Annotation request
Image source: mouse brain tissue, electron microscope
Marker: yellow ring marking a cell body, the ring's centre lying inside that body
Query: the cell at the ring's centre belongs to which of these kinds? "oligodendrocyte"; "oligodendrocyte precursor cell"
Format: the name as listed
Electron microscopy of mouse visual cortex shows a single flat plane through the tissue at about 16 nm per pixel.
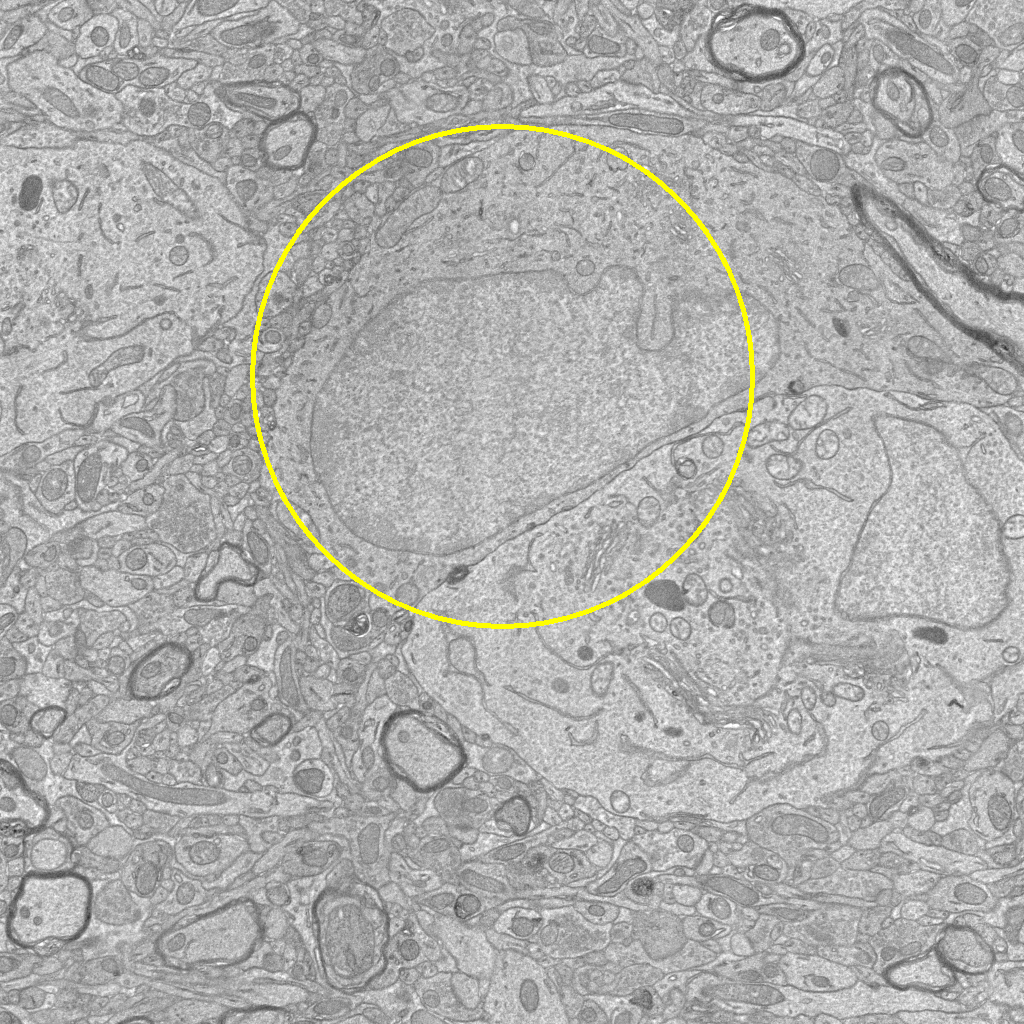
oligodendrocyte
